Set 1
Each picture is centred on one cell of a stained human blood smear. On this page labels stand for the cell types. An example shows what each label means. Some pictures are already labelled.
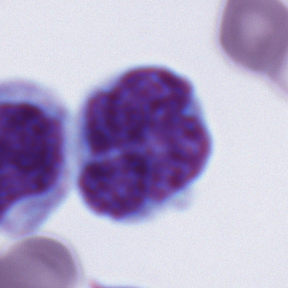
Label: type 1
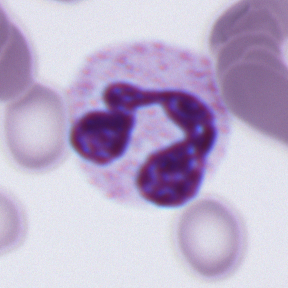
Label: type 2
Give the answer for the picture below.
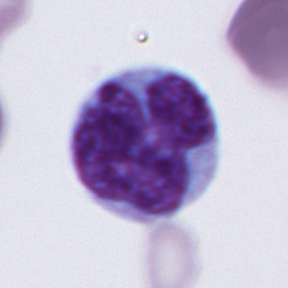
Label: type 1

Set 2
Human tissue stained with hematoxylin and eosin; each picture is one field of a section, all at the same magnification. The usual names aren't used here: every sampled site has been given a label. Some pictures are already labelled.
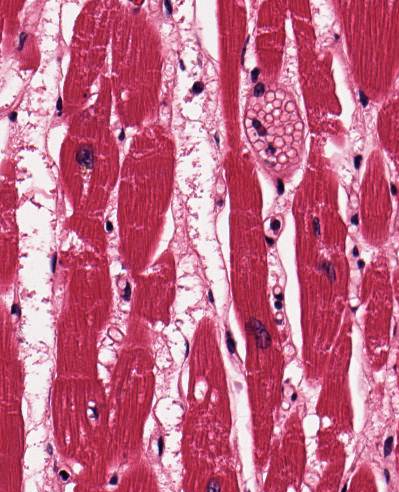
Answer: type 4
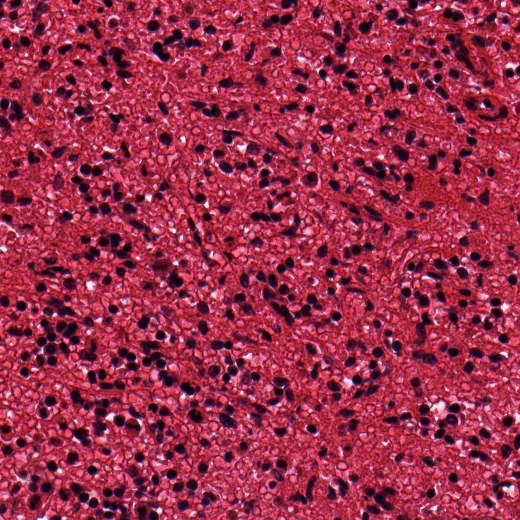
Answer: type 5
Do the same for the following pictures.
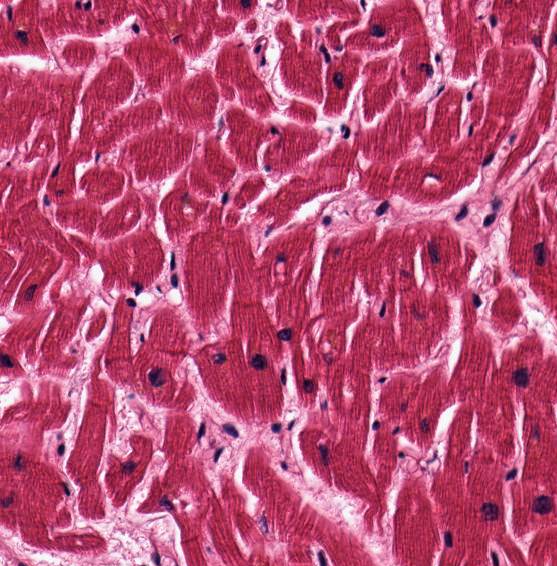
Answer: type 4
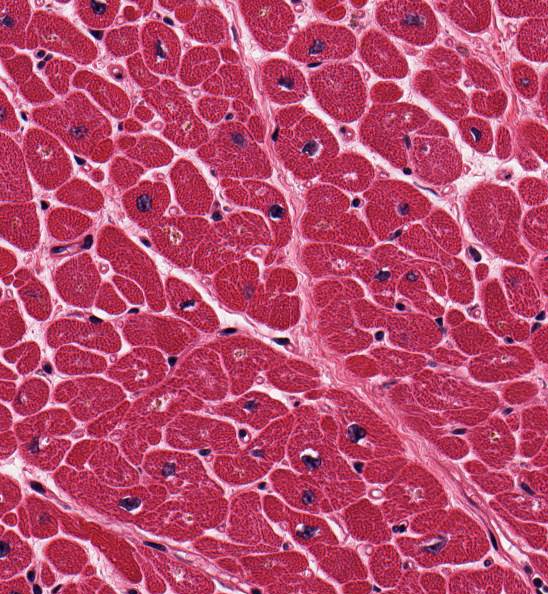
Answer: type 4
